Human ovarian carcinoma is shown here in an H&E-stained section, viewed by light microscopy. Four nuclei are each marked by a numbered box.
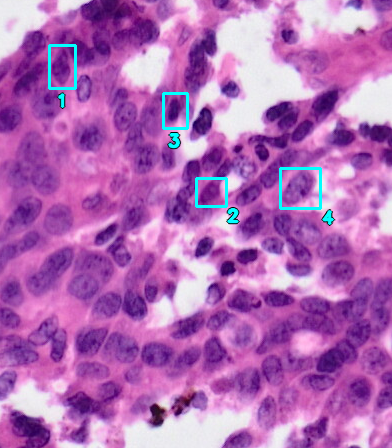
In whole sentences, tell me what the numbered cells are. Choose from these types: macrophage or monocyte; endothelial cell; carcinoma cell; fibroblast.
Cells 1, 2 and 3 are carcinoma cells. Cell 4 is a macrophage or monocyte.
